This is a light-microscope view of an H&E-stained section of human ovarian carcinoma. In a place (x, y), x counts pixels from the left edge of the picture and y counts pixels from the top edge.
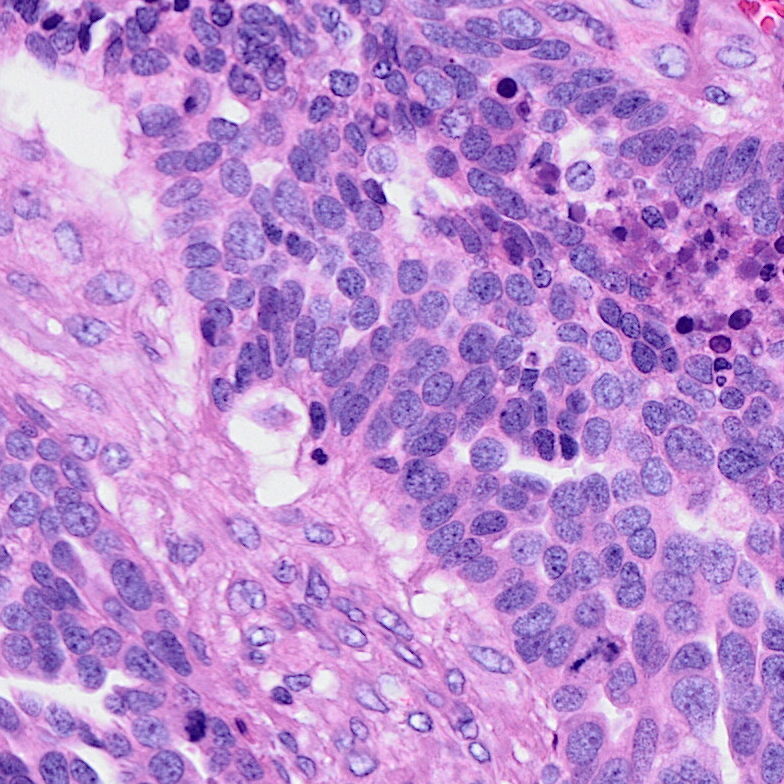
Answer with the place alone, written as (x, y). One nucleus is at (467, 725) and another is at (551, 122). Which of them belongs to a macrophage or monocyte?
(551, 122)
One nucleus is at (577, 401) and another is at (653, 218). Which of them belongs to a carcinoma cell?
(577, 401)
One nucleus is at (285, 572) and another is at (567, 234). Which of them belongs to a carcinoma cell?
(567, 234)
